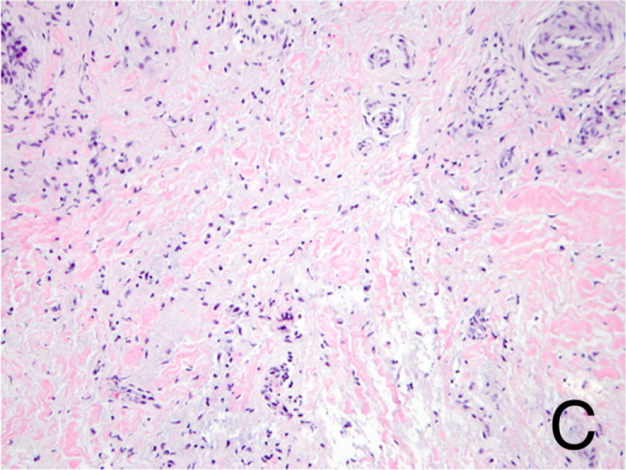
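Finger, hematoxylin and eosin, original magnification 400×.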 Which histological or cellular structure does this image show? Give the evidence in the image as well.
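Pale, loose, bluish-grey ground substance separates the cells. Bands of dense pink collagen fibers lie at the sides. Small vessels are scattered through the tissue.
Hence: myxoid matrix.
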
